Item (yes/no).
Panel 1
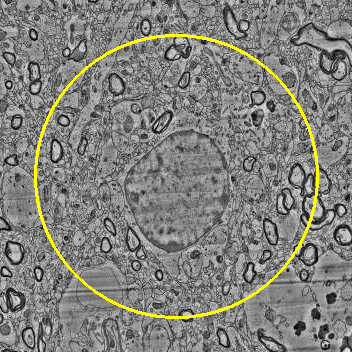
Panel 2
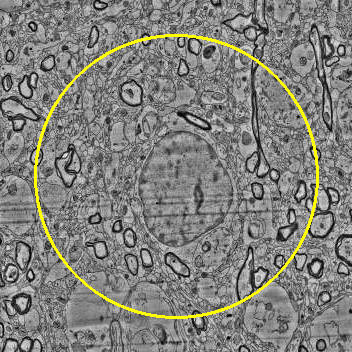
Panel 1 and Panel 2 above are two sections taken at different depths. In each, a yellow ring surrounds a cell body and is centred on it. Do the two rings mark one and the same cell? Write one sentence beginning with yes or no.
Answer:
Yes, the same cell has been marked in both yellow rings.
